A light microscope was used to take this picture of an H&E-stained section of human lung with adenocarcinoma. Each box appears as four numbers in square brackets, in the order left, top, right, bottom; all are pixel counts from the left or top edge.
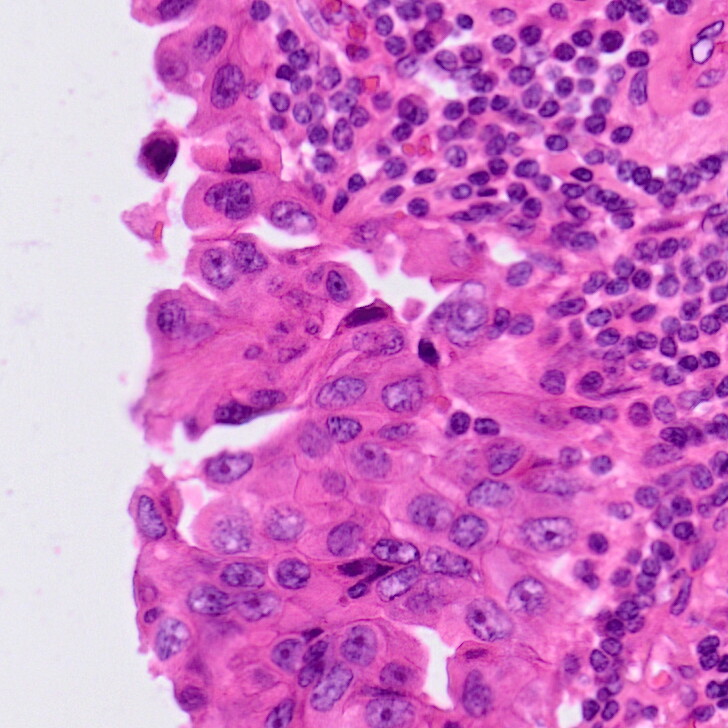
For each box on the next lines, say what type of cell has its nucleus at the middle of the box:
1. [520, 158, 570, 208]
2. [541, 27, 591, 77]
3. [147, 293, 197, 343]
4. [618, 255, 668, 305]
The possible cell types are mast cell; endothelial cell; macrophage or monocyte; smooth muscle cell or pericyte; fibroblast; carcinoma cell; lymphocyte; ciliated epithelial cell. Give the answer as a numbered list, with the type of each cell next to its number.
1. lymphocyte
2. lymphocyte
3. carcinoma cell
4. lymphocyte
